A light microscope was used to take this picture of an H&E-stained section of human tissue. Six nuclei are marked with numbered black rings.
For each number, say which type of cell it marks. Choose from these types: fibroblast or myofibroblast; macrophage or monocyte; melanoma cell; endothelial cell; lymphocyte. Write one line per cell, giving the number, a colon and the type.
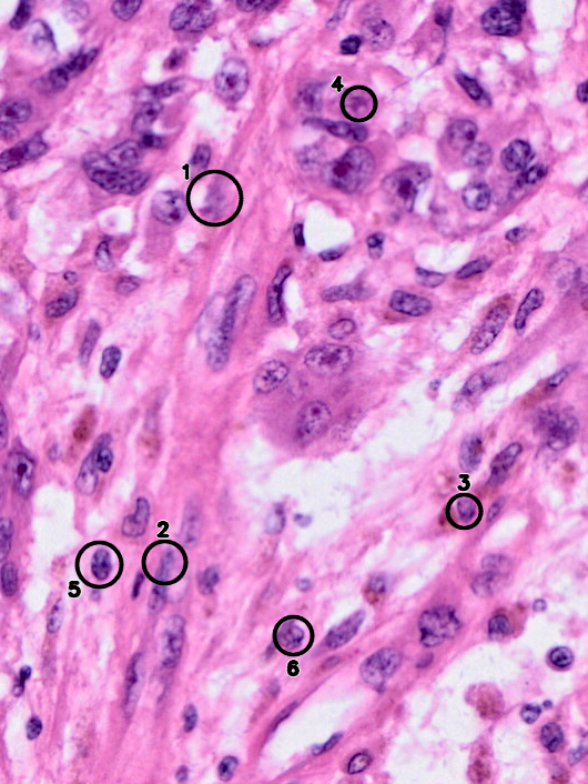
1: fibroblast or myofibroblast
2: endothelial cell
3: macrophage or monocyte
4: melanoma cell
5: lymphocyte
6: macrophage or monocyte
